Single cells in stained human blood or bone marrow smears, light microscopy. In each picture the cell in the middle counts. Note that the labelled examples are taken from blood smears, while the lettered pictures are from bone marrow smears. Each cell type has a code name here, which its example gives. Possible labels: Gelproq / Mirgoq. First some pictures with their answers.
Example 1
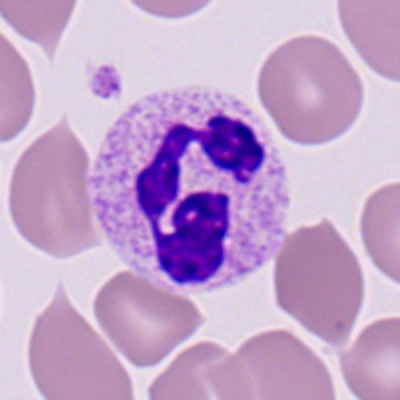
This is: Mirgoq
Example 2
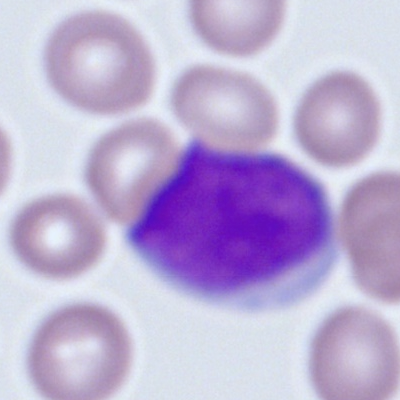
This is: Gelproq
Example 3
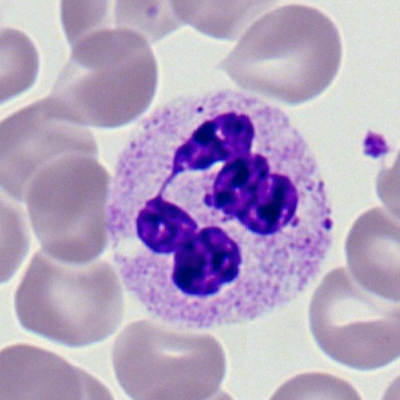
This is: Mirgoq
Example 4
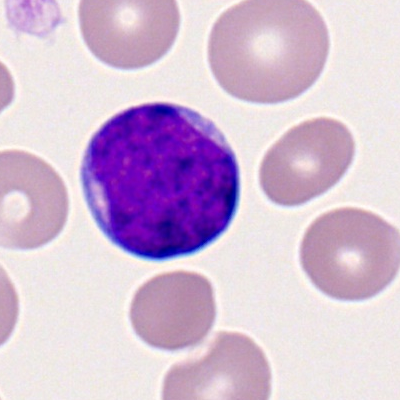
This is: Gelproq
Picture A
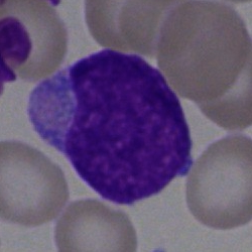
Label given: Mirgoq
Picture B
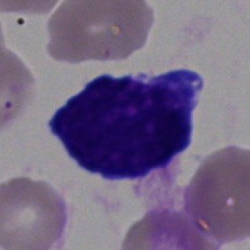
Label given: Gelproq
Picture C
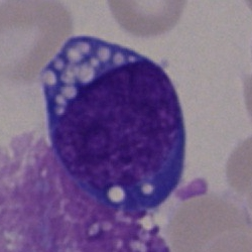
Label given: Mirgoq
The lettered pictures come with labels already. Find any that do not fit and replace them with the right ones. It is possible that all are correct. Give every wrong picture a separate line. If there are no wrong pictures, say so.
A: change Mirgoq to Gelproq
C: change Mirgoq to Gelproq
